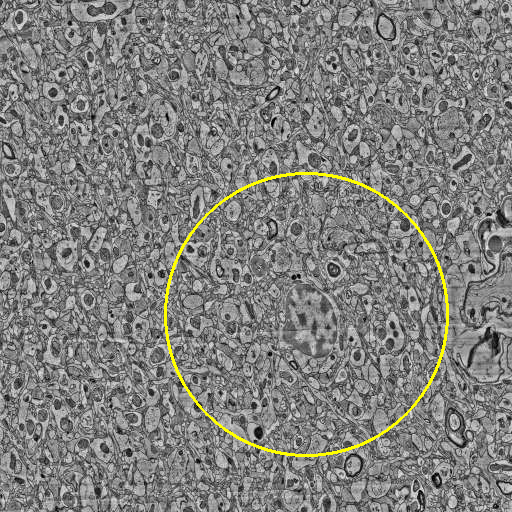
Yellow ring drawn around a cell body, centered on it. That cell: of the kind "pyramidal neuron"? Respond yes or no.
no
